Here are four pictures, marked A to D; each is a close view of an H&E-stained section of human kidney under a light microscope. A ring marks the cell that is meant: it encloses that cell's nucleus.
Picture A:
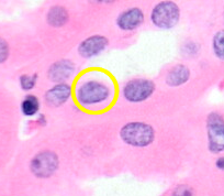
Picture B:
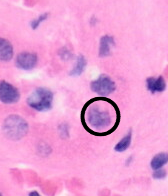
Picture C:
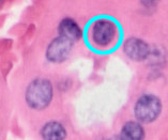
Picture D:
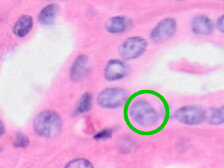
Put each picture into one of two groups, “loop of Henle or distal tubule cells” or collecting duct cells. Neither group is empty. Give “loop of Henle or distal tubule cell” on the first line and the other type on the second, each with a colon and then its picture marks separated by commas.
loop of Henle or distal tubule cell: B
collecting duct cell: A, C, D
